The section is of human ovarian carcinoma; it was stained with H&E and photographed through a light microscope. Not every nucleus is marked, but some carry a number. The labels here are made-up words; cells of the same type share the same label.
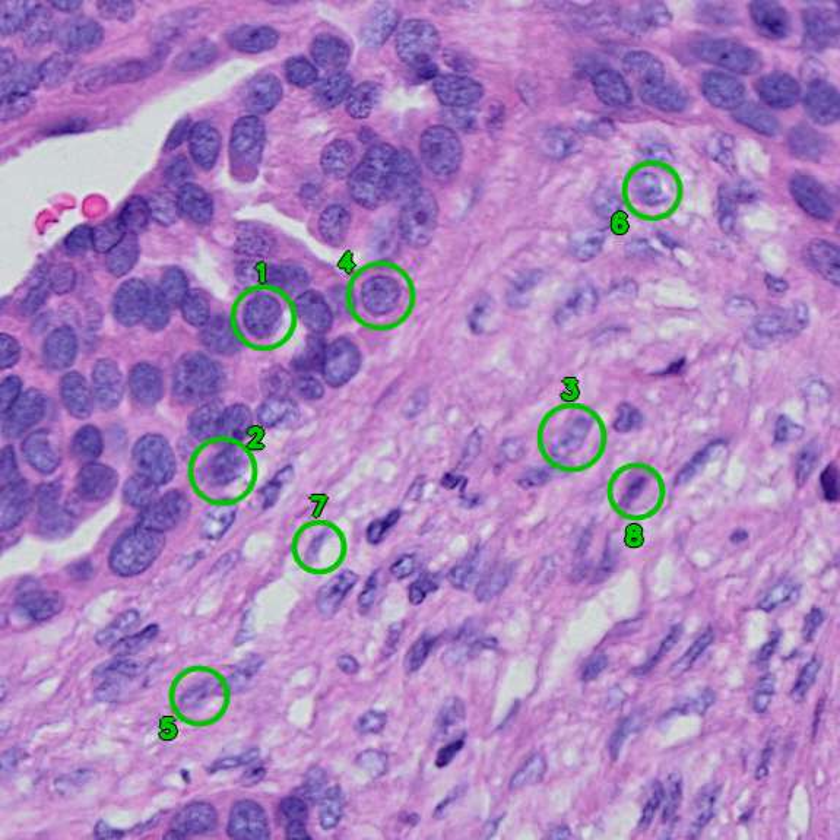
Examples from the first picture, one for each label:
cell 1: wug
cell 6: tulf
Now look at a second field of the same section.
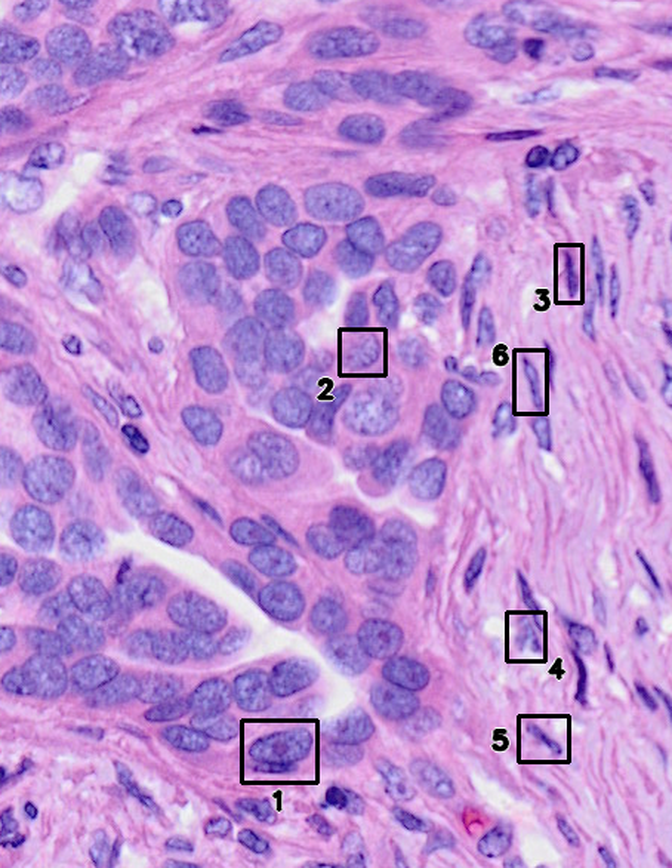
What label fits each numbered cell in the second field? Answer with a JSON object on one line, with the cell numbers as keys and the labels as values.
{"1": "wug", "2": "wug", "3": "tulf", "4": "tulf", "5": "tulf", "6": "tulf"}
